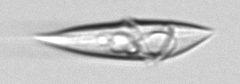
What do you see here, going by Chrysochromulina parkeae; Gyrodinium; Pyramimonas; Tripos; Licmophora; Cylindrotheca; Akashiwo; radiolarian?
I see Gyrodinium.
